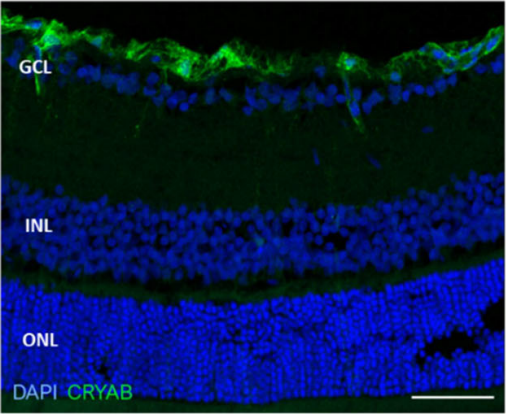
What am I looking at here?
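A cross-section of retina shows three bands of blue nuclei: a sparse single row near the inner surface, a middle band several rows thick, and a thick, densely packed bottom band of small round nuclei, separated by darker nucleus-poor bands. Along the innermost surface lie bright green branched cells whose long processes spread along the surface, with a few processes dipping down toward the top row of nuclei.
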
